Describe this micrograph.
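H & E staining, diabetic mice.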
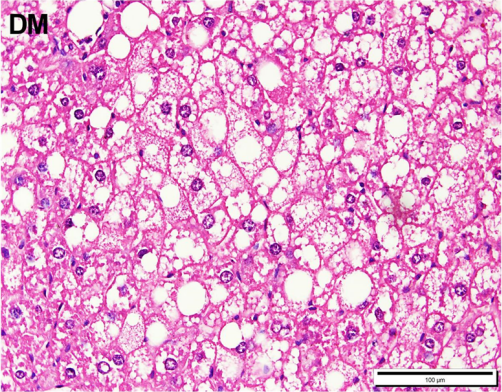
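Liver parenchyma with hepatocytes whose cytoplasm is largely replaced by clear spaces. Many cells hold round, sharply bounded empty vacuoles of varying size, some large enough to fill most of the cell. Other hepatocytes appear swollen with pale, finely foamy pink cytoplasm. Nuclei are round, purple and mostly central, with visible nucleoli in some cells. The orderly cord arrangement of hepatocytes is largely obscured by the vacuolated cells.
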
